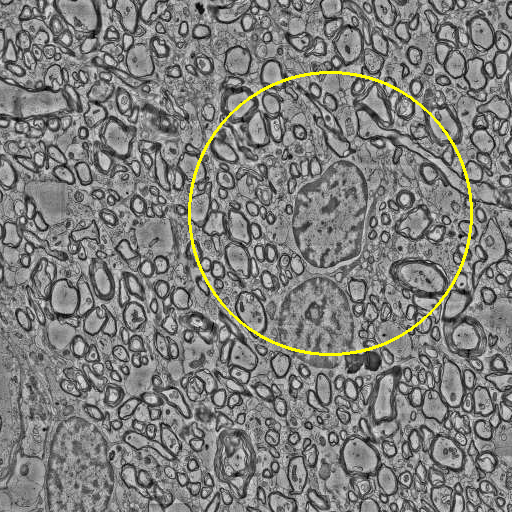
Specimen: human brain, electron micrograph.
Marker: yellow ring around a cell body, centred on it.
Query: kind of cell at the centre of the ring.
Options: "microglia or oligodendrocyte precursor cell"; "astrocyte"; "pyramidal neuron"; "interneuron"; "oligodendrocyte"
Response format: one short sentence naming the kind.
This cell body belongs to a microglial cell or oligodendrocyte precursor cell.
